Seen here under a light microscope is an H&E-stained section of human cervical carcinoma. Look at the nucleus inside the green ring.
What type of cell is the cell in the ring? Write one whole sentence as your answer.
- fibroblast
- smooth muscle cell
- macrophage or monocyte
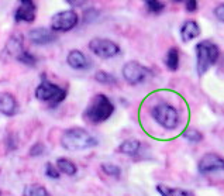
Assigned to a cell type, the cell in the ring is a macrophage or monocyte.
